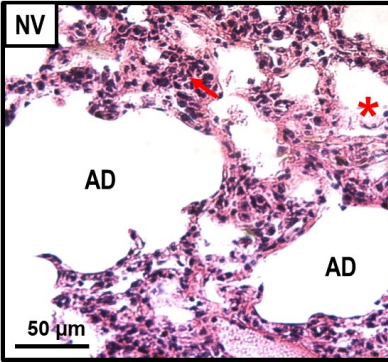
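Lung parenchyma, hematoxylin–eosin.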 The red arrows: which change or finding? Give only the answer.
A: alveolar collapse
